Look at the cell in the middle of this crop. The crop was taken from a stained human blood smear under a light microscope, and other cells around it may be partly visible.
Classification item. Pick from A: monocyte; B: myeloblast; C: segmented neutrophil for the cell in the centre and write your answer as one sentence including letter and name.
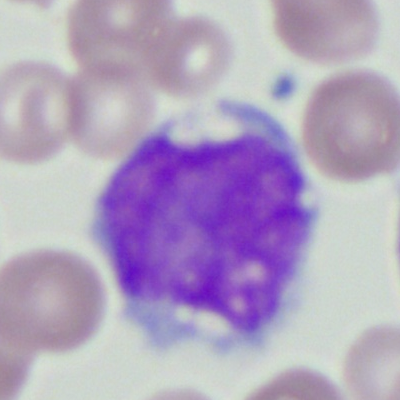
The central cell is a monocyte, which makes option A the right answer.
